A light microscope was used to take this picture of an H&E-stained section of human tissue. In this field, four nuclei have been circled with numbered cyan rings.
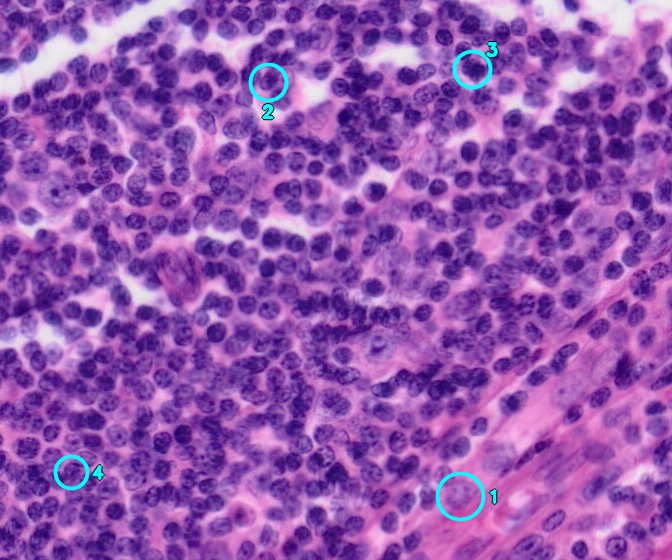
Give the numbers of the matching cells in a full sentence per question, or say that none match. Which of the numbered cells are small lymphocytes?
When it comes to cells 2, 3 and 4, they are small lymphocytes.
